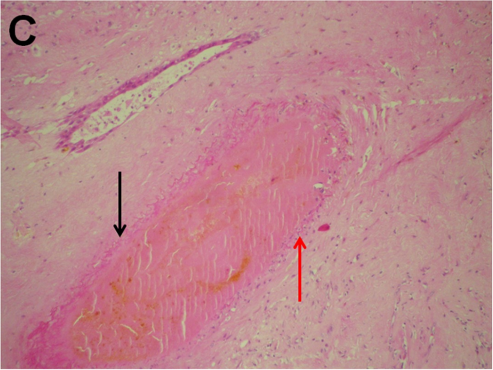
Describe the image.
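A blood vessel cut lengthwise crosses the field diagonally, its lumen filled with pink material showing many parallel clefts and streaks of orange-brown granular pigment. Above and to the left lies a smaller vessel containing blood cells. The surrounding tissue is pale pink fibrous stroma with scattered elongated nuclei.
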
